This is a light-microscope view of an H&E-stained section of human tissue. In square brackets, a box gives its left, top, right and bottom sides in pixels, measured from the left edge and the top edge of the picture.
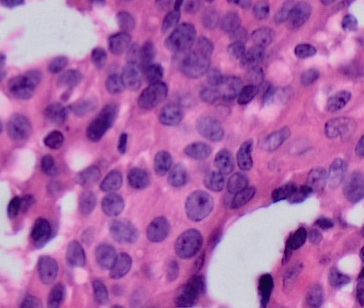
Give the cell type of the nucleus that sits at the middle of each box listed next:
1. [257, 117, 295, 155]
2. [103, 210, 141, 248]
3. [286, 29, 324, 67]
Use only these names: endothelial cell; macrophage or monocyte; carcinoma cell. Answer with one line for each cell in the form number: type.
1: endothelial cell
2: carcinoma cell
3: macrophage or monocyte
